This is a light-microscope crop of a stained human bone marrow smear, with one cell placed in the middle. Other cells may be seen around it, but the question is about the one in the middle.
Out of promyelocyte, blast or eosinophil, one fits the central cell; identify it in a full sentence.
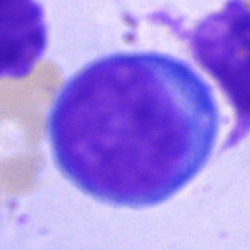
The crop shows a blast in its centre.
